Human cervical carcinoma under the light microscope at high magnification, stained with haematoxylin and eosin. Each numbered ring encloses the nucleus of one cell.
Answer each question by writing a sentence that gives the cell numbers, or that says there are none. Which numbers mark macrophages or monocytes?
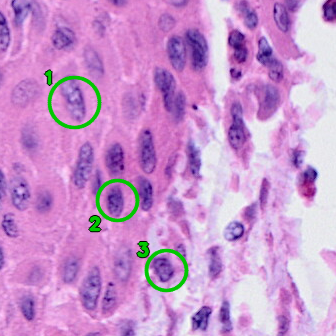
Cell 3 is the single numbered cell that is a macrophage or monocyte.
